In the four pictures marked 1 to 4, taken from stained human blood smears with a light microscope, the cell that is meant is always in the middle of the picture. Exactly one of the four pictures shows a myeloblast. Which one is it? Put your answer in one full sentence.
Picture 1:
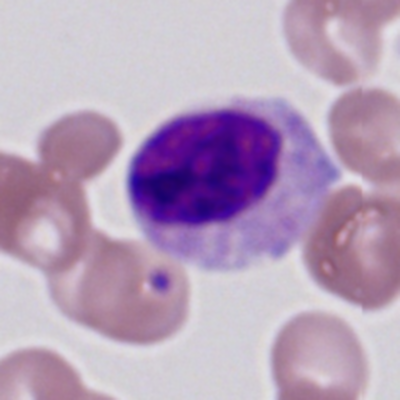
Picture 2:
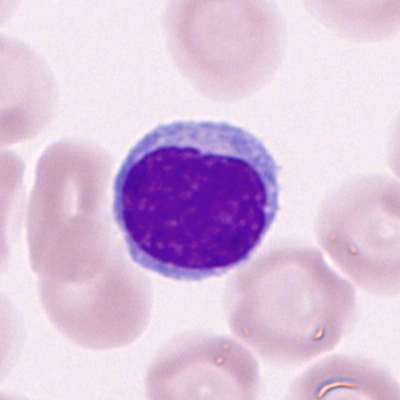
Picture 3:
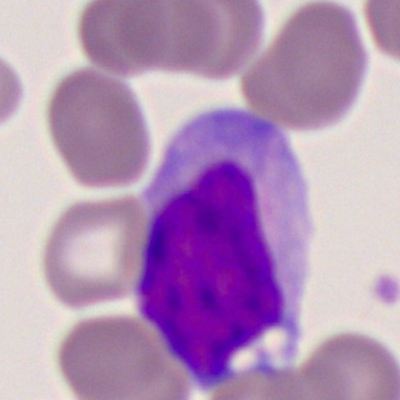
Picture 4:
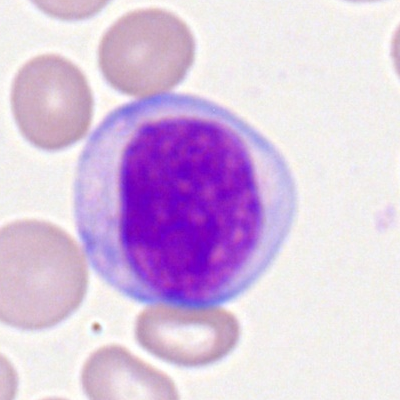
The picture with the myeloblast is 3.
